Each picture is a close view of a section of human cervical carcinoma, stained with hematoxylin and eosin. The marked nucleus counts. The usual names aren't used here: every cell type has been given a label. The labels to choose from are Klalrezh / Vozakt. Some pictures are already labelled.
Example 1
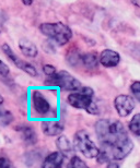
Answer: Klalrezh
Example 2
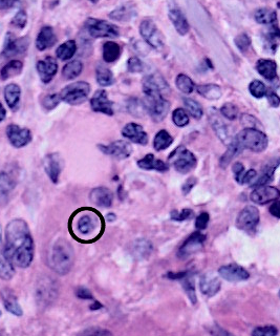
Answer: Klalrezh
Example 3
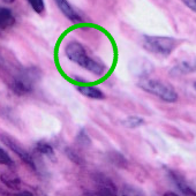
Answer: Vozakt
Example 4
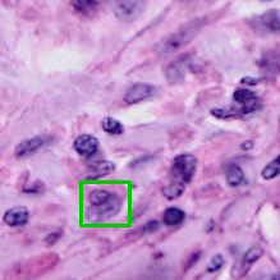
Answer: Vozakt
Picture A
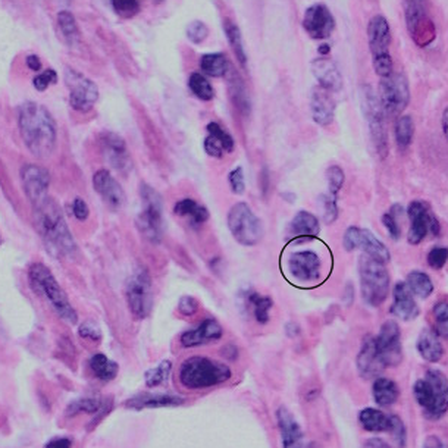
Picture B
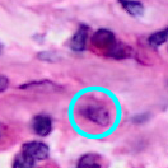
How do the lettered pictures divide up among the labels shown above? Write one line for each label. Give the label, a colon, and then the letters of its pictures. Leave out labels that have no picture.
Klalrezh: A
Vozakt: B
